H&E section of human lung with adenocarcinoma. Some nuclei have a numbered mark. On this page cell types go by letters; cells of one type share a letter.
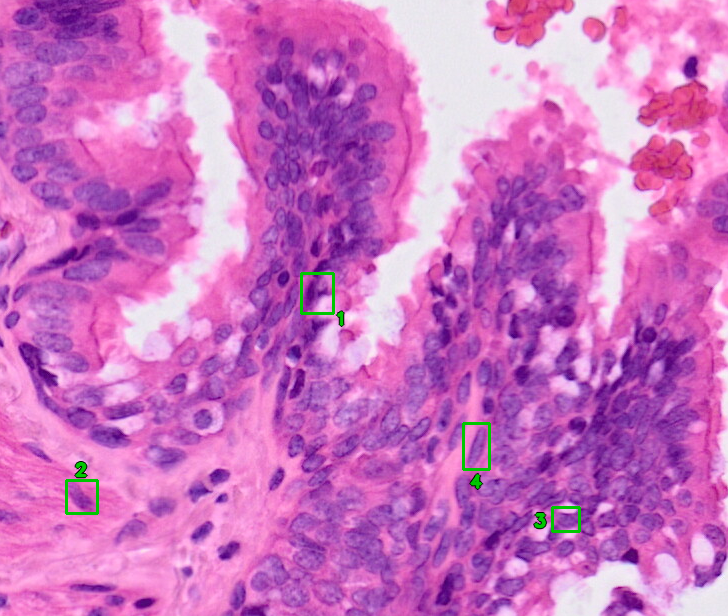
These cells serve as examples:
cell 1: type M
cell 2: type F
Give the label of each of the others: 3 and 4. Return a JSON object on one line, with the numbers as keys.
{"3": "type M", "4": "type M"}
